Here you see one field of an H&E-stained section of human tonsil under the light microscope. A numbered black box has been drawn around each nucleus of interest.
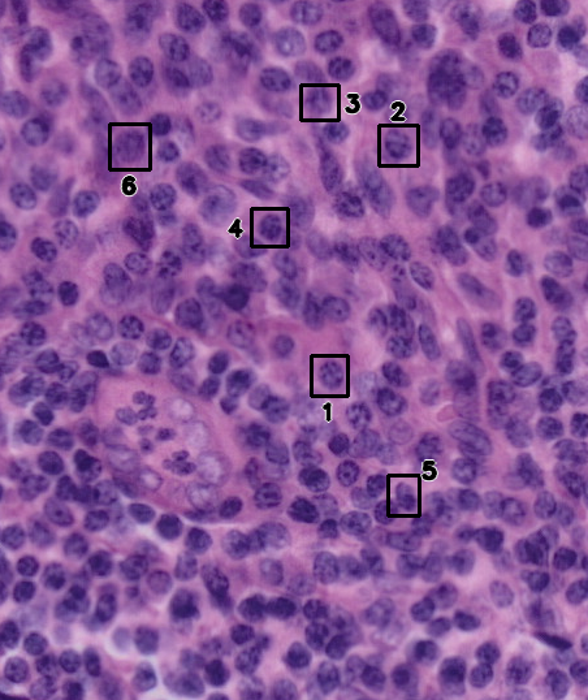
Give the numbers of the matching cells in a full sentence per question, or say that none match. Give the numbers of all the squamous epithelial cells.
A single numbered cell, cell 6, is a squamous epithelial cell.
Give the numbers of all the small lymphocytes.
Exactly one of the numbered cells is a small lymphocyte, namely cell 5.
